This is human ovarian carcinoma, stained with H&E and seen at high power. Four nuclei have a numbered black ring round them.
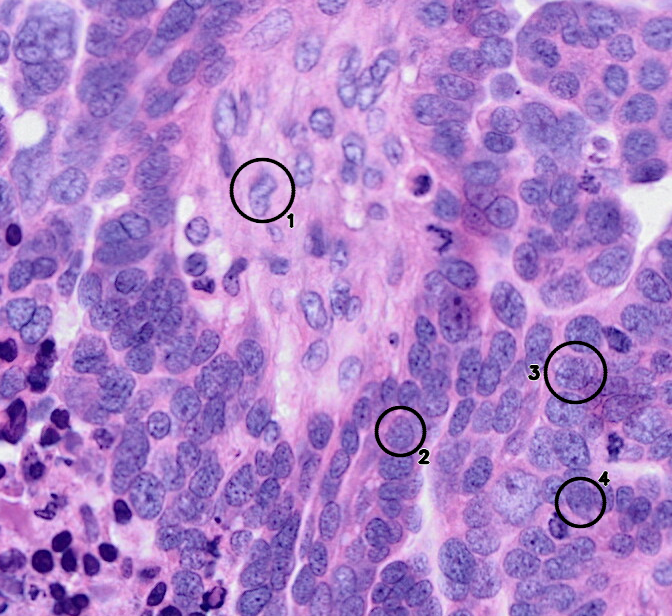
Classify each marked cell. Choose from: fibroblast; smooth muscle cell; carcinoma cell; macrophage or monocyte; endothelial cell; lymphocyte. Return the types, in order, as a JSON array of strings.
["fibroblast", "carcinoma cell", "carcinoma cell", "carcinoma cell"]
